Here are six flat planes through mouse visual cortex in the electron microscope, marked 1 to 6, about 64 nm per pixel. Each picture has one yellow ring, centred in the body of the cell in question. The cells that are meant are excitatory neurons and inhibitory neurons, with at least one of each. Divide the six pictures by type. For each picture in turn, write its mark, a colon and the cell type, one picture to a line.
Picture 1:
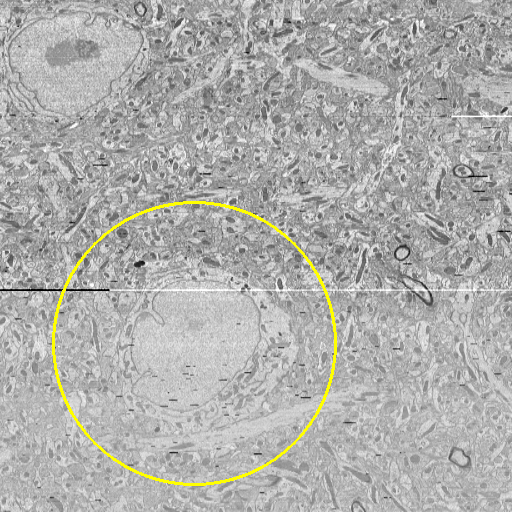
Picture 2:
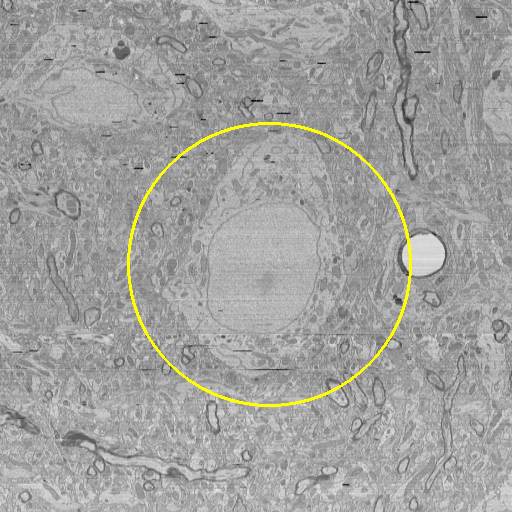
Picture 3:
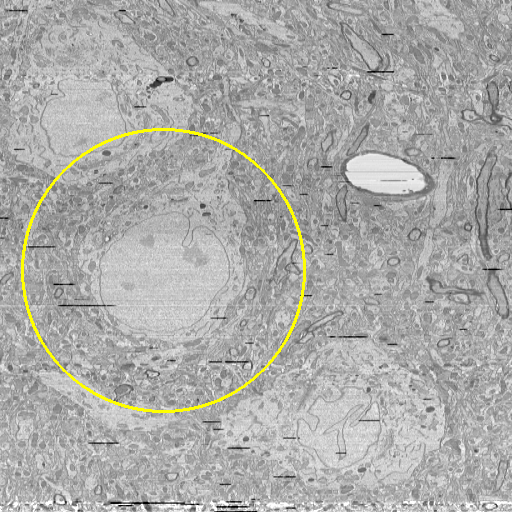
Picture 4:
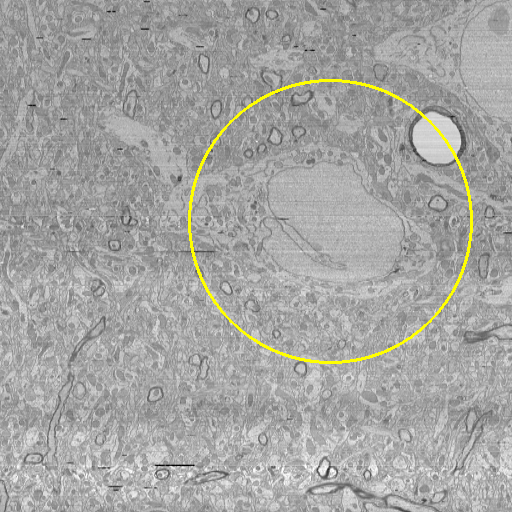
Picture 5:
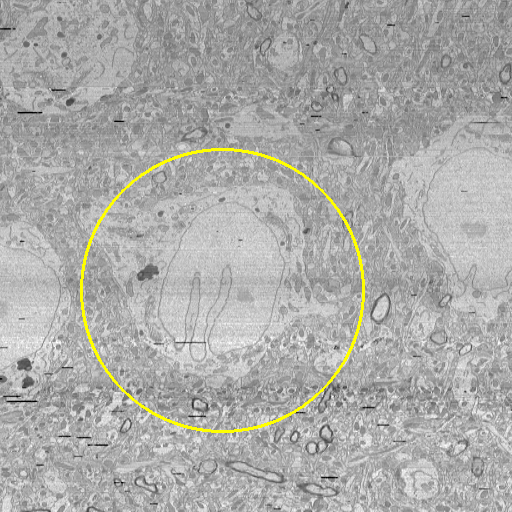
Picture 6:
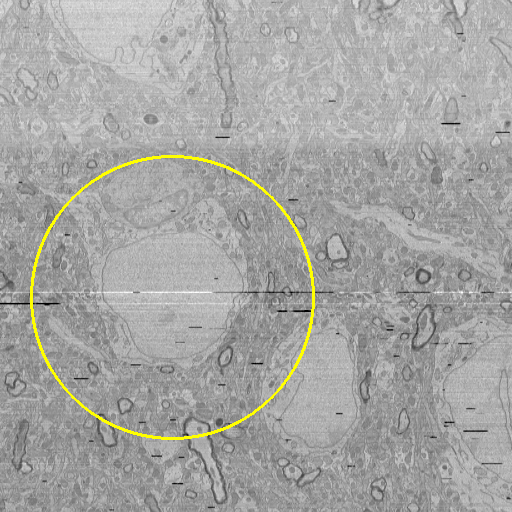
1: inhibitory neuron
2: excitatory neuron
3: excitatory neuron
4: inhibitory neuron
5: excitatory neuron
6: excitatory neuron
